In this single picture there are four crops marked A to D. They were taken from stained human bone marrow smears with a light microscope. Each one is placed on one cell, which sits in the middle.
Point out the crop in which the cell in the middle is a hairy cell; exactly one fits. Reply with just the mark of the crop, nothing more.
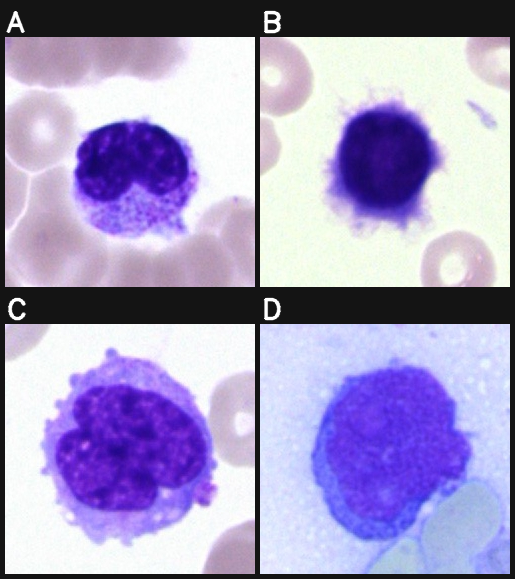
B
